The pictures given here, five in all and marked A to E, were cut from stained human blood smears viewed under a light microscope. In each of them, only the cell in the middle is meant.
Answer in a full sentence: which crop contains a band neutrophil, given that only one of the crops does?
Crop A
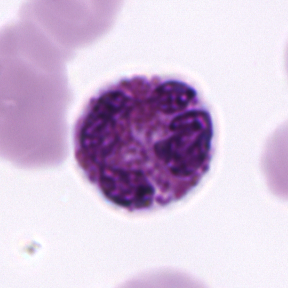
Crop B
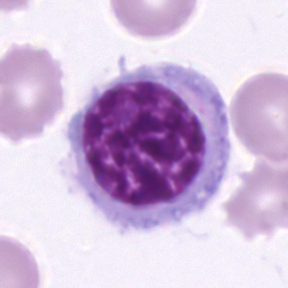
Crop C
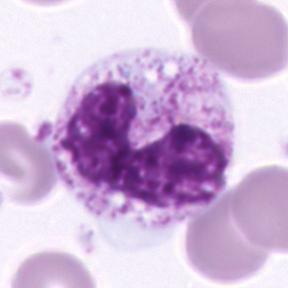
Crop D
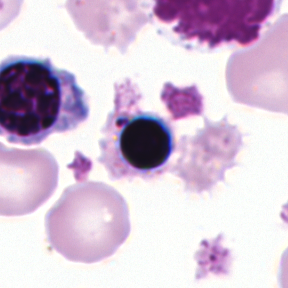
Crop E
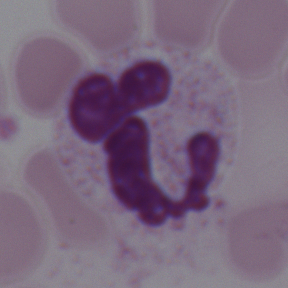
Identified crop: C, the one that shows a band neutrophil.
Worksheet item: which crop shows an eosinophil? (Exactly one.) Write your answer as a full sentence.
The crop that shows an eosinophil is crop A.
